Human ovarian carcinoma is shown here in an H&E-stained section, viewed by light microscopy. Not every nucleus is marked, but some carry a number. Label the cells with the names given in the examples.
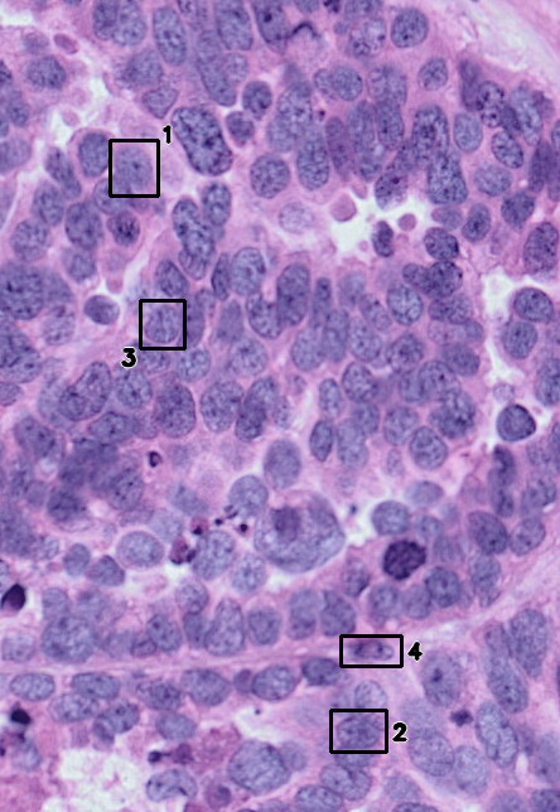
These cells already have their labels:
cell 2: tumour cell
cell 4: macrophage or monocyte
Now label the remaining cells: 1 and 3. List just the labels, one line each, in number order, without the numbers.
tumour cell
tumour cell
